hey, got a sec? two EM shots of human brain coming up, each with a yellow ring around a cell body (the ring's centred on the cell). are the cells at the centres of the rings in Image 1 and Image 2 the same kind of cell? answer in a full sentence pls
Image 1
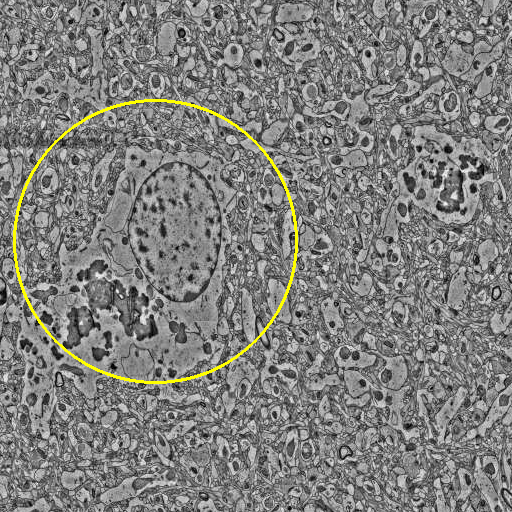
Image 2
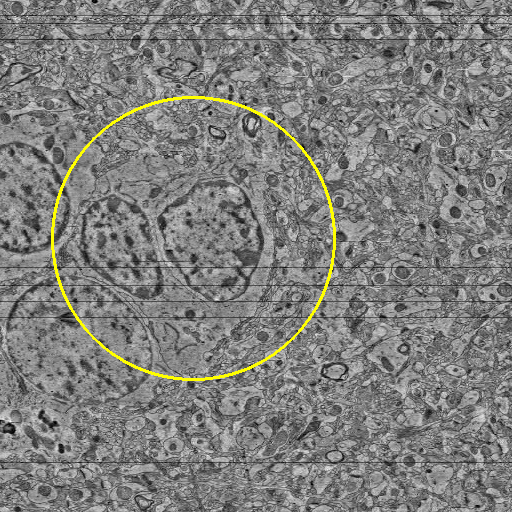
No, they are two kinds of cell.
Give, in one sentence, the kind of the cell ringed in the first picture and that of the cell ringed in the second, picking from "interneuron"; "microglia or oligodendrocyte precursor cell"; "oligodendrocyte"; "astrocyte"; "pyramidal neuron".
For the first picture it is an astrocyte; for the second, a microglial cell or oligodendrocyte precursor cell.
